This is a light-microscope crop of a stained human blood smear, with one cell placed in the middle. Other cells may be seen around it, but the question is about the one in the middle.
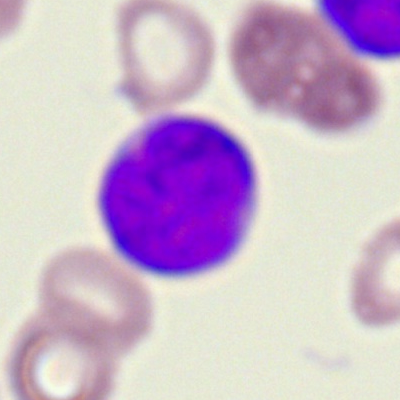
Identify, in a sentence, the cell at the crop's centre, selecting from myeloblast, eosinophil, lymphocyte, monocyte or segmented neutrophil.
The target cell in the middle of the crop is a myeloblast.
